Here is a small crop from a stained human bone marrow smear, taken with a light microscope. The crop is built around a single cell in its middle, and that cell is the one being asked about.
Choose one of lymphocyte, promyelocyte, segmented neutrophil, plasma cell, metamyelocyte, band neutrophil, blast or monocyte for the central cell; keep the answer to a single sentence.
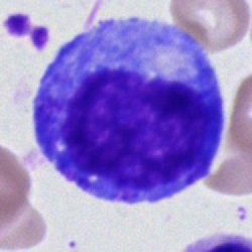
The cell positioned in the middle of the field is a promyelocyte.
